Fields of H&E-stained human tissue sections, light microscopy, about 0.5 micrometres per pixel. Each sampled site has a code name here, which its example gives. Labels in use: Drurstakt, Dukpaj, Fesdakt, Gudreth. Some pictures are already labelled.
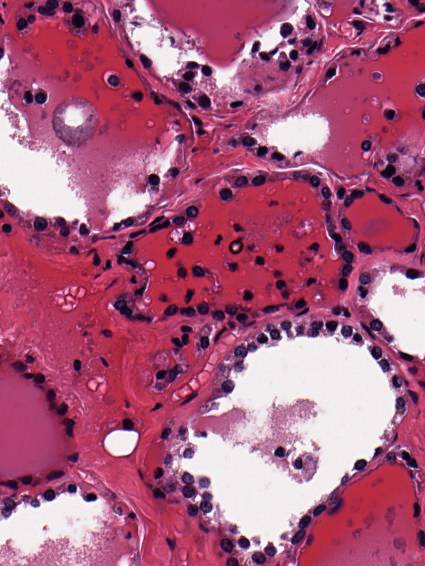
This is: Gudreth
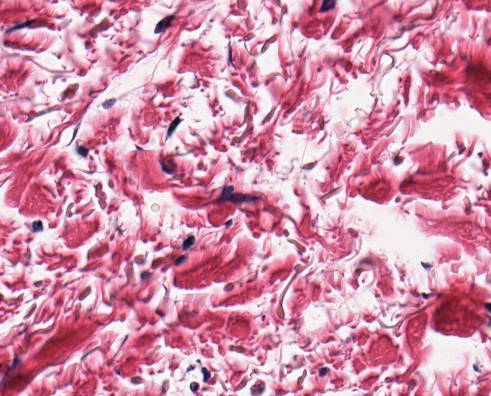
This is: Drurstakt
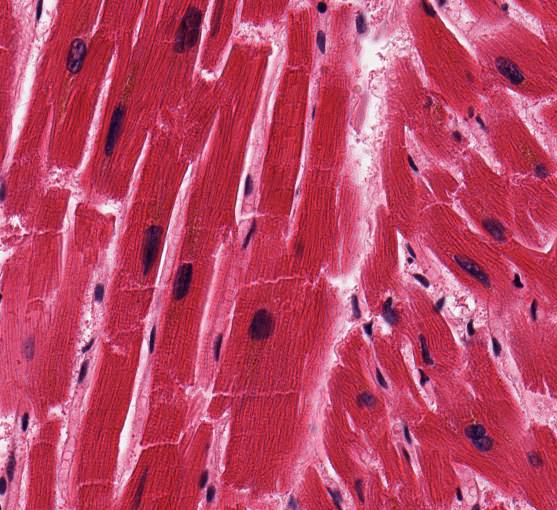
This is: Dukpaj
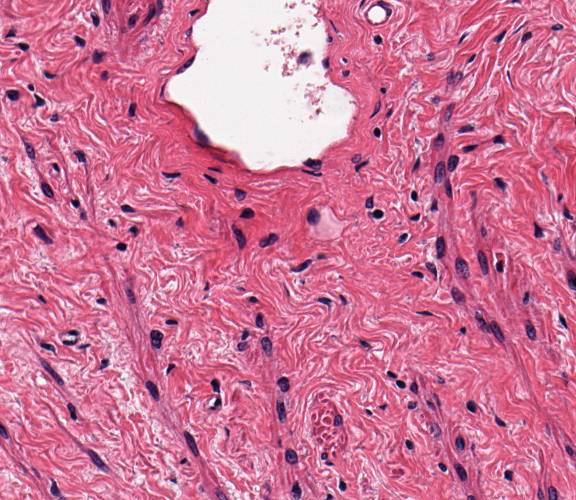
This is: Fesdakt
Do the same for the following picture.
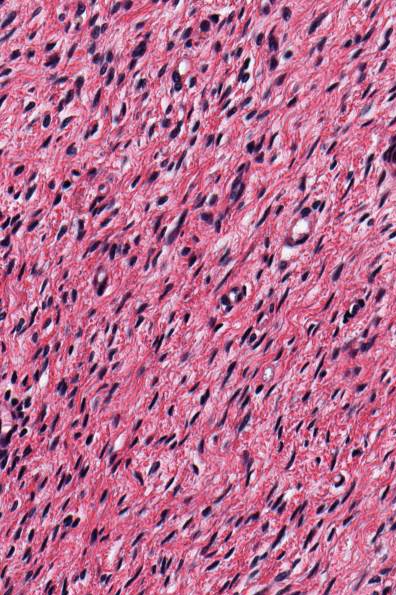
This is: Fesdakt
